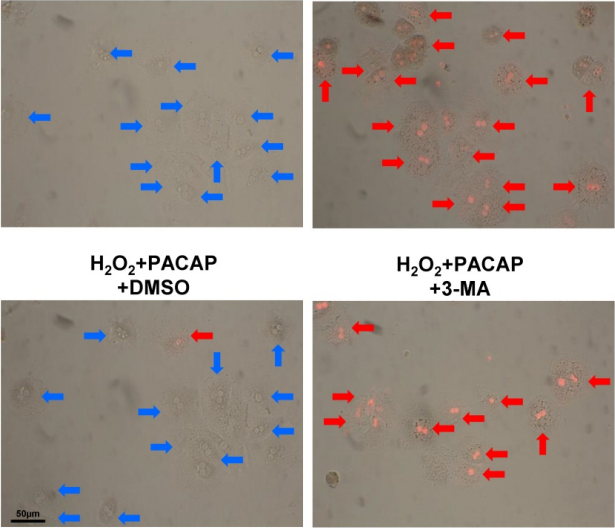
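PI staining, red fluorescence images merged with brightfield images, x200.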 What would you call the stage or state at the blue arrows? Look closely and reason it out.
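Live cells. Cells marked by the blue arrows show no red fluorescence. These cells appear flat and intact in brightfield.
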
